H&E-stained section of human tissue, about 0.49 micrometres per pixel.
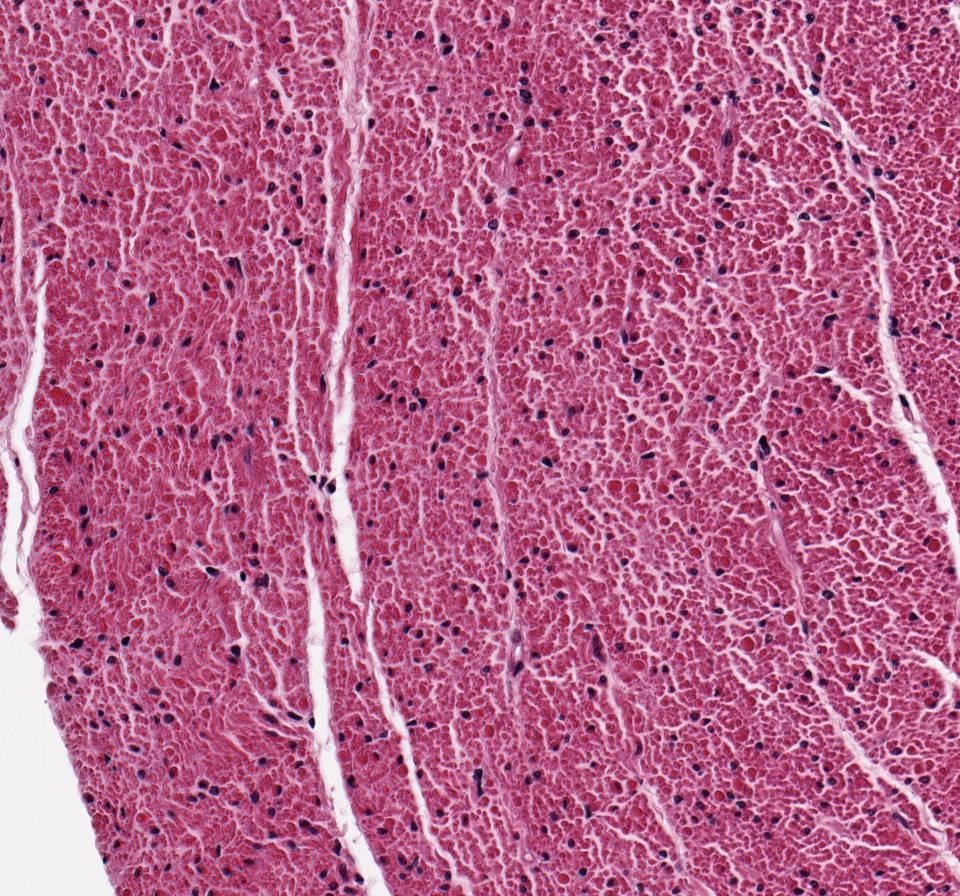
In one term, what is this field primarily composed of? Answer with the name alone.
smooth muscle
